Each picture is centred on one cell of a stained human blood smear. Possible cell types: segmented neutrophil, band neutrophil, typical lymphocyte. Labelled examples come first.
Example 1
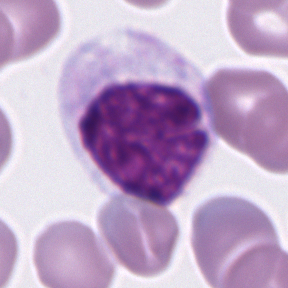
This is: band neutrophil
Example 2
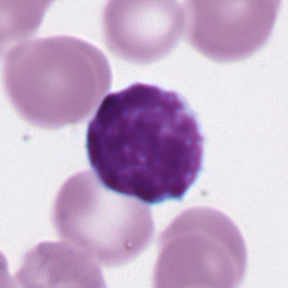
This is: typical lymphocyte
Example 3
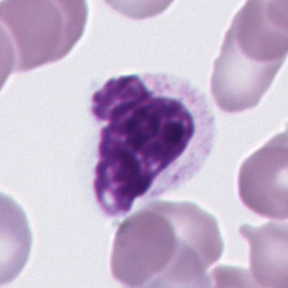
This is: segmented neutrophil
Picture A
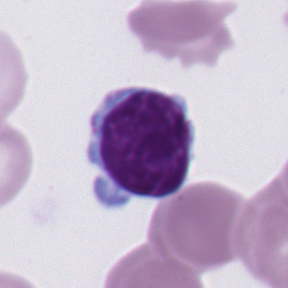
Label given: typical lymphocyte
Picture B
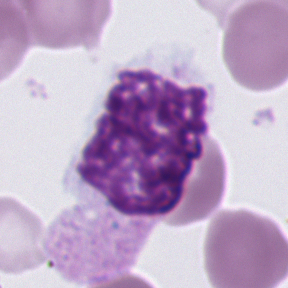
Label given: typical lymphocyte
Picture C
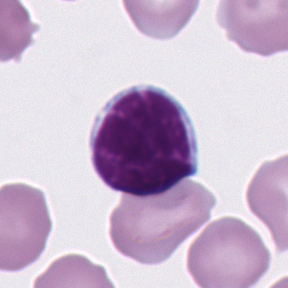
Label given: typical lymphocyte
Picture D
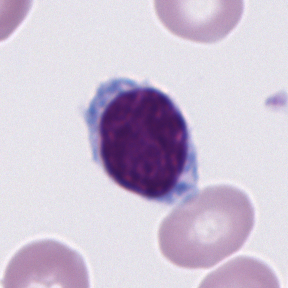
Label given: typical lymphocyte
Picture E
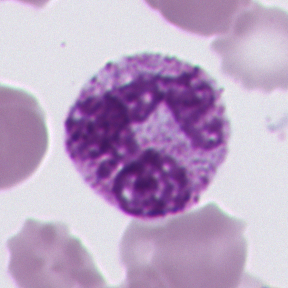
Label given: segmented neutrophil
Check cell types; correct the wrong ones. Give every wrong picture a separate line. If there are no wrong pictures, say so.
B should be segmented neutrophil, not typical lymphocyte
